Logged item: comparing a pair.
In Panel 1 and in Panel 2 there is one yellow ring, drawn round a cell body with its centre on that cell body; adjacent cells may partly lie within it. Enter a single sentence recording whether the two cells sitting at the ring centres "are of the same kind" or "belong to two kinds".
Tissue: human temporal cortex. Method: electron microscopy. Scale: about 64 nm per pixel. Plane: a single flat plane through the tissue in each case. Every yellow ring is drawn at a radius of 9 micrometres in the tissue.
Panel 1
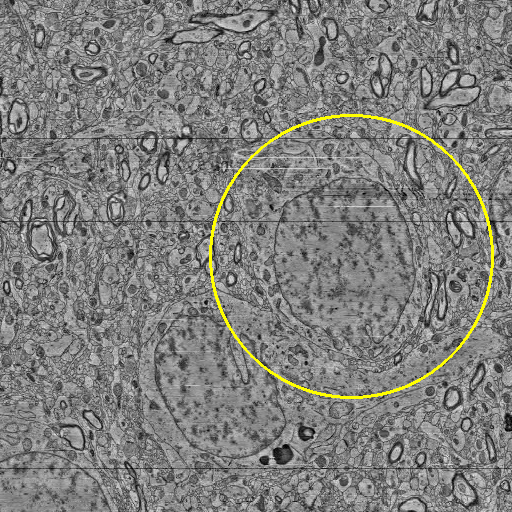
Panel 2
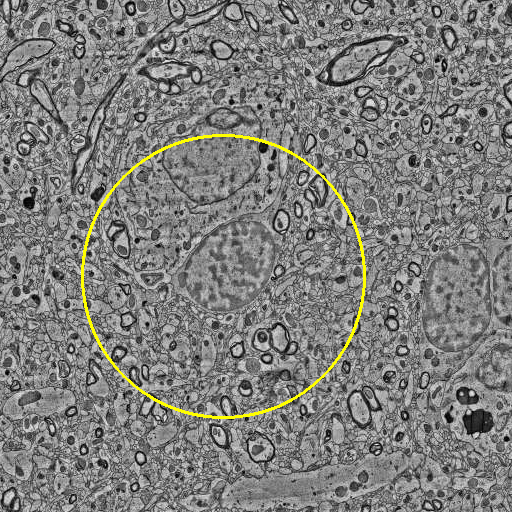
Logged: the cells centred in the rings of Panel 1 and Panel 2 belong to two kinds.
